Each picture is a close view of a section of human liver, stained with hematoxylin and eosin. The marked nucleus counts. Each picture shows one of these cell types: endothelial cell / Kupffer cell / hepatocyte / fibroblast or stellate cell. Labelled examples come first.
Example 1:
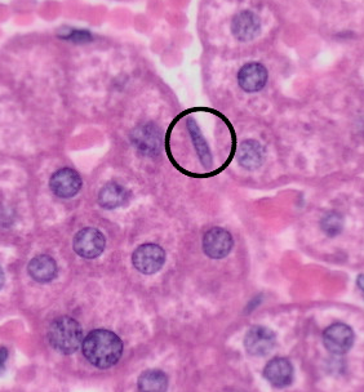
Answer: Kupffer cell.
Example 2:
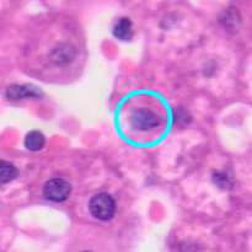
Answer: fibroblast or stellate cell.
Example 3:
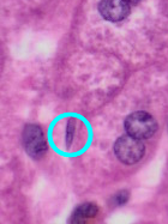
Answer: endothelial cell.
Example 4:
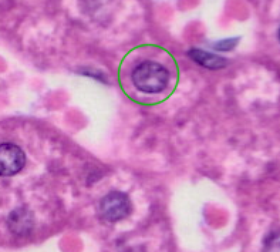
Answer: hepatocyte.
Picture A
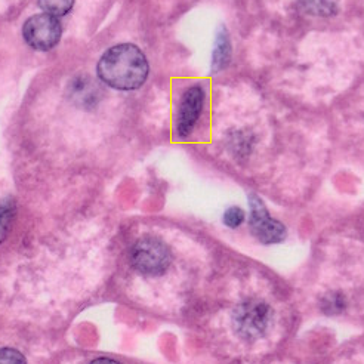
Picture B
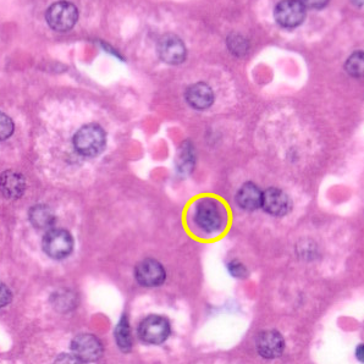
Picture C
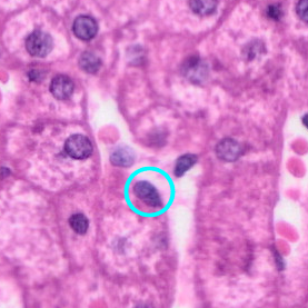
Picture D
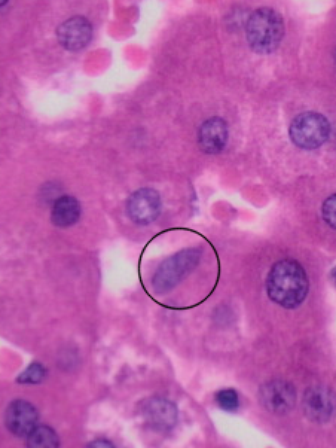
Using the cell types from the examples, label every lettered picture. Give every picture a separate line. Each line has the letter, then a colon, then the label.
A: fibroblast or stellate cell.
B: fibroblast or stellate cell.
C: fibroblast or stellate cell.
D: Kupffer cell.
